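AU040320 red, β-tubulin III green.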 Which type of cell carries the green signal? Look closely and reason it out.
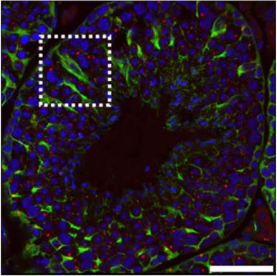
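Green cells are elongated and branched, stretching from the tubule edge toward the lumen. Green cytoplasm surrounds many round blue nuclei of other cells.
Sertoli cells.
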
